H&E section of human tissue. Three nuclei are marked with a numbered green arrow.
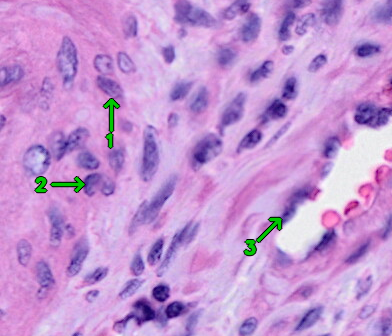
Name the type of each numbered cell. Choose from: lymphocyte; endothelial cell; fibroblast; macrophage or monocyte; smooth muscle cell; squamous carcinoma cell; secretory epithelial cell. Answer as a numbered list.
1. smooth muscle cell
2. smooth muscle cell
3. endothelial cell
